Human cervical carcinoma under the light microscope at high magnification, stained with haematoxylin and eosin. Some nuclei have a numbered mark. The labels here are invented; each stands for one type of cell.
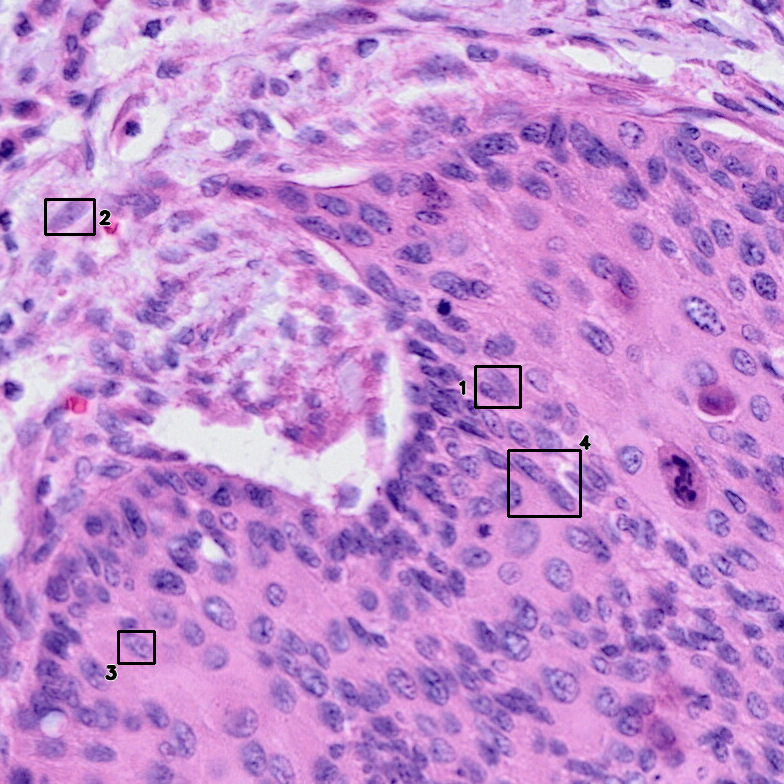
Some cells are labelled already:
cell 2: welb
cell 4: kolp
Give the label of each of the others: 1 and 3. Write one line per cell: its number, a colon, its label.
1: kolp
3: kolp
